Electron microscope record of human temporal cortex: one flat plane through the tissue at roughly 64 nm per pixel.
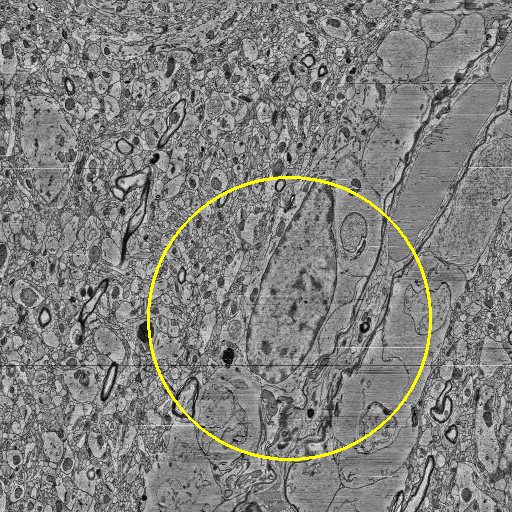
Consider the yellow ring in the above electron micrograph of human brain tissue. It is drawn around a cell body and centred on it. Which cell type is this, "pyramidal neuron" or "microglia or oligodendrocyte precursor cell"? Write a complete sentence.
The cell in question is a microglial cell or oligodendrocyte precursor cell.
